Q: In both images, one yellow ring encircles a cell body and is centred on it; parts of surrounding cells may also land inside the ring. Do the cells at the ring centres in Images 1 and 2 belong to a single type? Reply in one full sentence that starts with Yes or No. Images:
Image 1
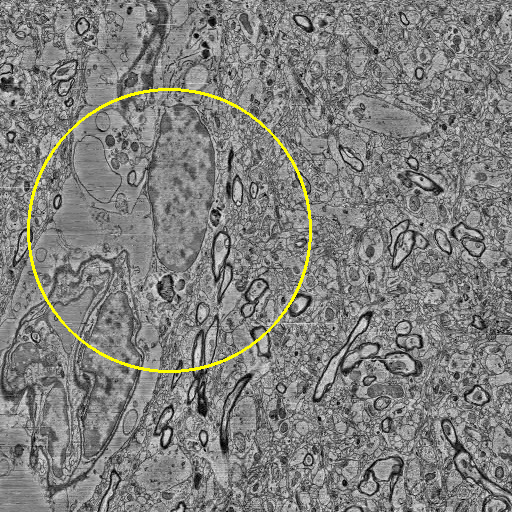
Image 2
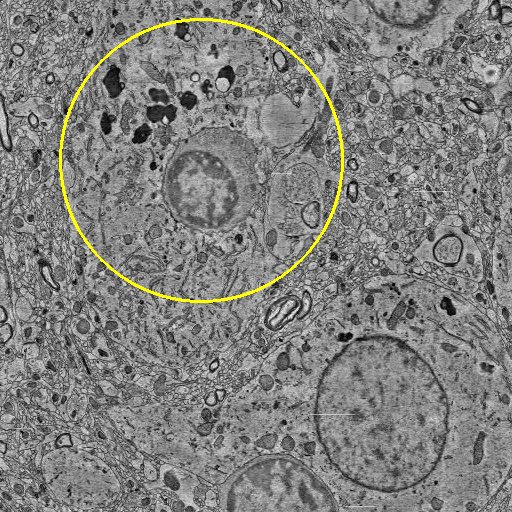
No, the cells at the ring centres in Images 1 and 2 are of two types.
